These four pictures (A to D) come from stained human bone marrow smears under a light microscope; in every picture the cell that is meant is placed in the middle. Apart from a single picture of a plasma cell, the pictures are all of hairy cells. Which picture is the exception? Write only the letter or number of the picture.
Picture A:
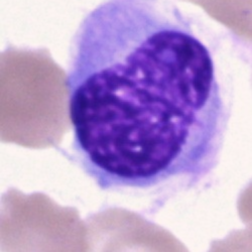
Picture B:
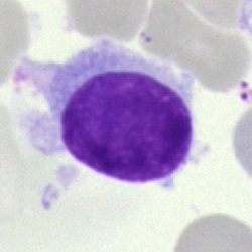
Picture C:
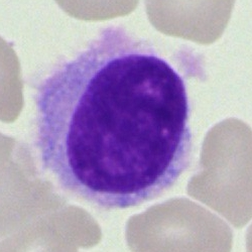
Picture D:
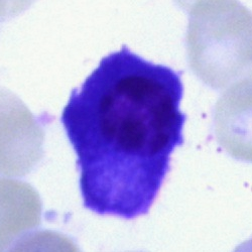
D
